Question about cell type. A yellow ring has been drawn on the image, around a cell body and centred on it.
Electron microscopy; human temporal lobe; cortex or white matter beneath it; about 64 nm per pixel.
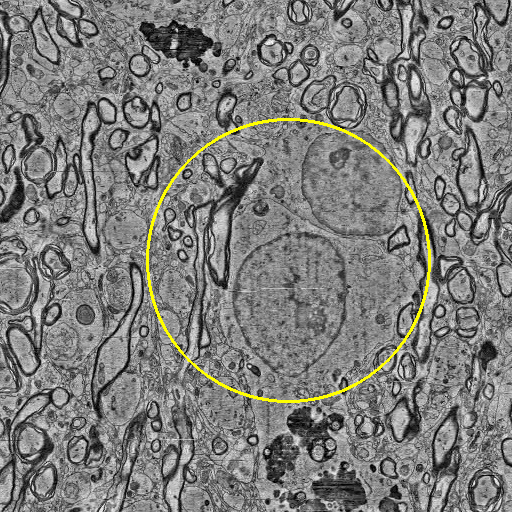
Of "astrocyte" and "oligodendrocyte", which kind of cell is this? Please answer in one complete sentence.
At the centre of the ring lies an astrocyte.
